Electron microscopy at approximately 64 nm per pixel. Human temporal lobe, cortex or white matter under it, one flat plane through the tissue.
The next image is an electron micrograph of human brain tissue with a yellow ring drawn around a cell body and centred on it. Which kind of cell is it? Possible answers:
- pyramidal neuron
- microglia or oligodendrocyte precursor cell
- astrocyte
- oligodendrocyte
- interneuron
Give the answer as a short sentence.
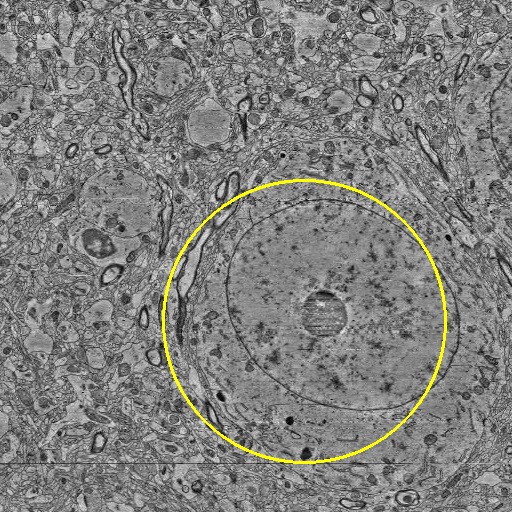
In the ring's centre is a pyramidal neuron.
